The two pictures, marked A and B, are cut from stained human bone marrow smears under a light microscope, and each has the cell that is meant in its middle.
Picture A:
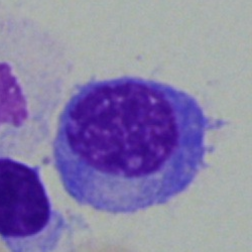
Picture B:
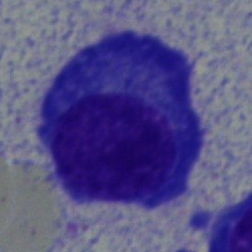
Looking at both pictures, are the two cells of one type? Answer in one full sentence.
Yes; the cells in both pictures are plasma cells.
